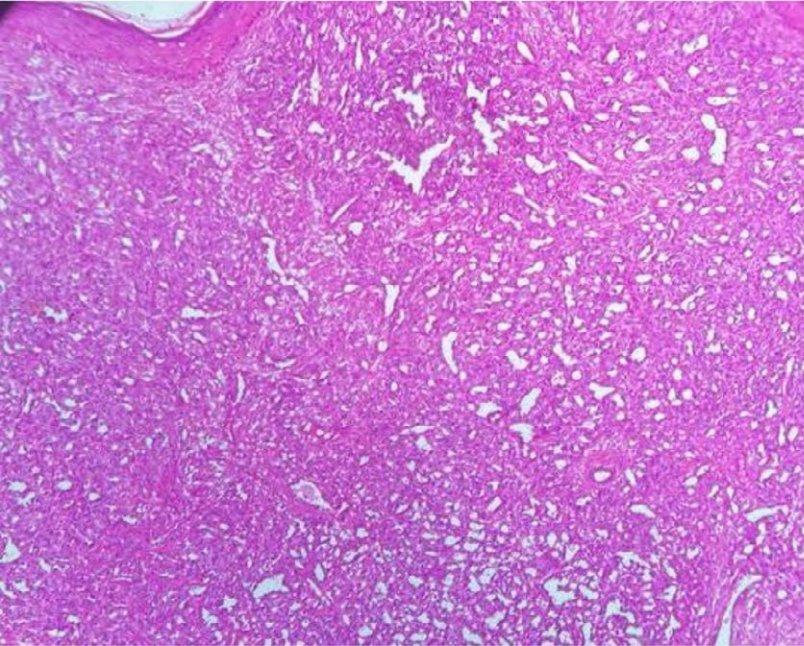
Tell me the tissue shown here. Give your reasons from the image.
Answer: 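Squamous epithelium. A dense pink stratified layer runs along the top-left edge. The layer lies over the lesion, which is full of open spaces.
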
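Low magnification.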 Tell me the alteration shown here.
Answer: vascular tumor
